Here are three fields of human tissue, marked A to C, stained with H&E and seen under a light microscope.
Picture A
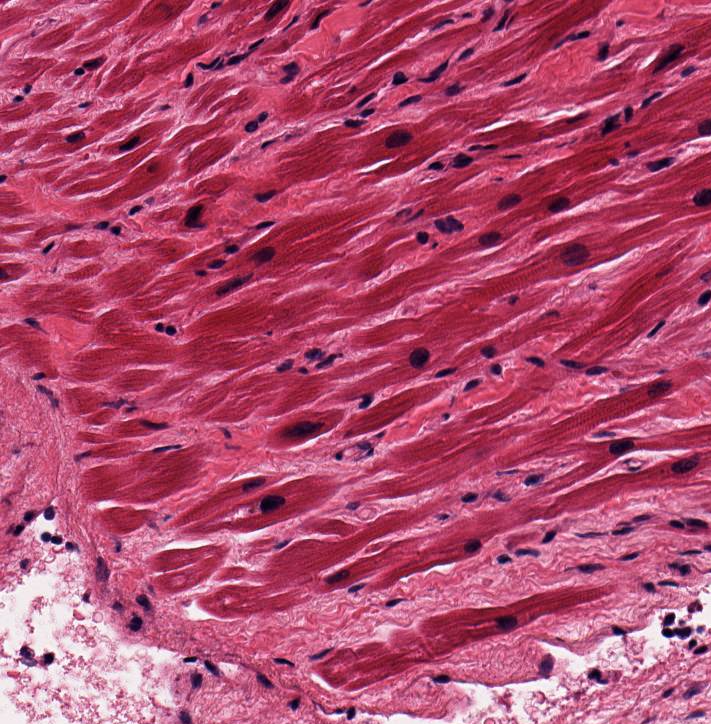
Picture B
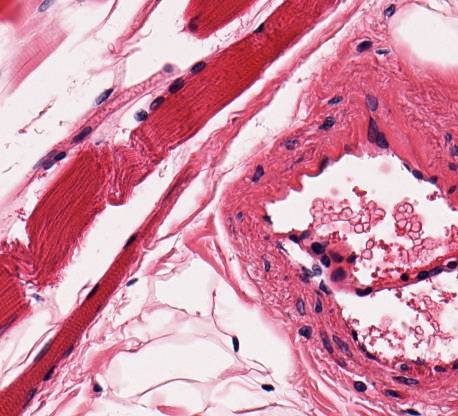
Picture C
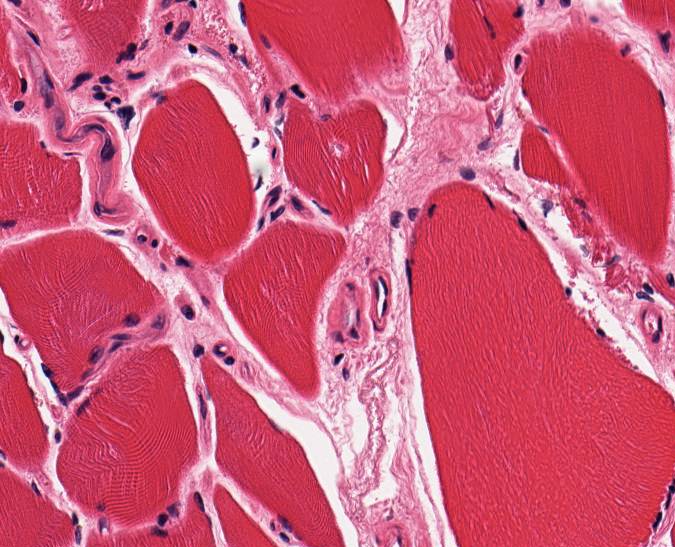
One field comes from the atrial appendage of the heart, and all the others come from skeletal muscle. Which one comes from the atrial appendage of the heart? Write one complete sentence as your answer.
Picture A is the field that comes from the atrial appendage of the heart.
